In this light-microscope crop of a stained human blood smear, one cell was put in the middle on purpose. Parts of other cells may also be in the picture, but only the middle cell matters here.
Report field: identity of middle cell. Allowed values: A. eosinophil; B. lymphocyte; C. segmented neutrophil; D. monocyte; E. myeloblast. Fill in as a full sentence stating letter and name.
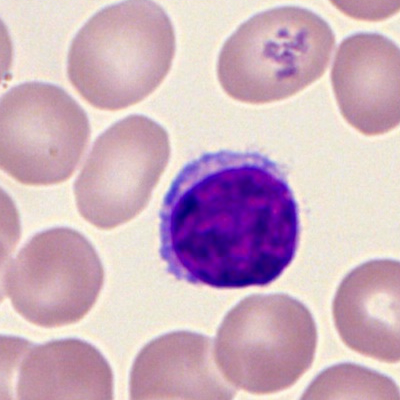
The central cell, a lymphocyte, is correctly identified by option B.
